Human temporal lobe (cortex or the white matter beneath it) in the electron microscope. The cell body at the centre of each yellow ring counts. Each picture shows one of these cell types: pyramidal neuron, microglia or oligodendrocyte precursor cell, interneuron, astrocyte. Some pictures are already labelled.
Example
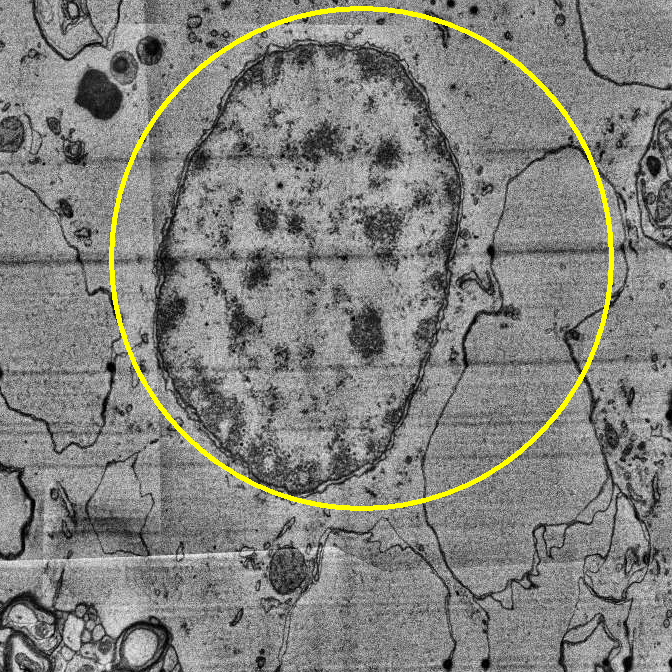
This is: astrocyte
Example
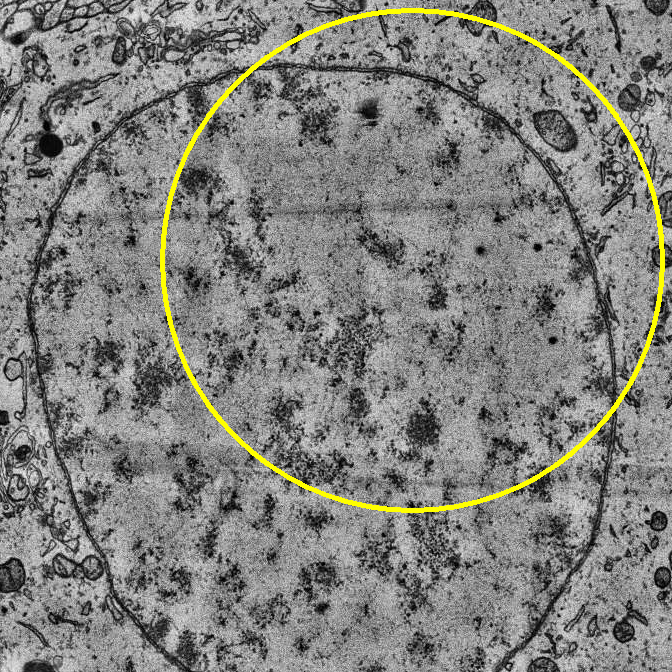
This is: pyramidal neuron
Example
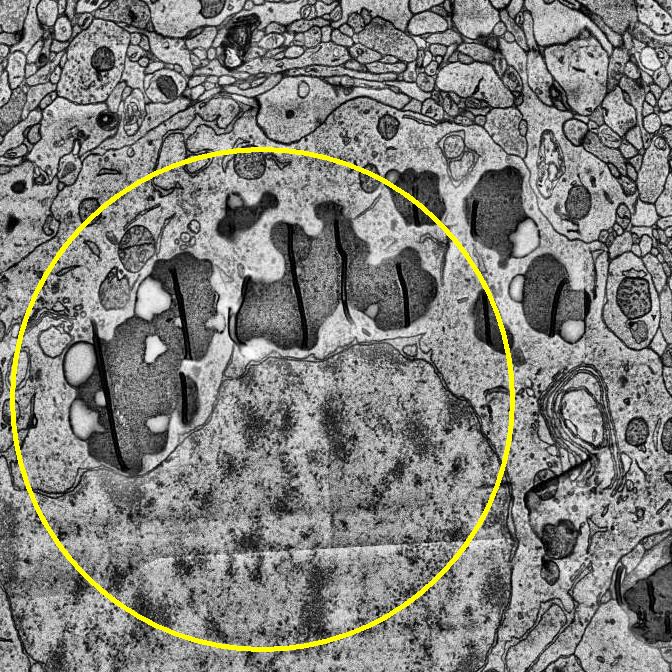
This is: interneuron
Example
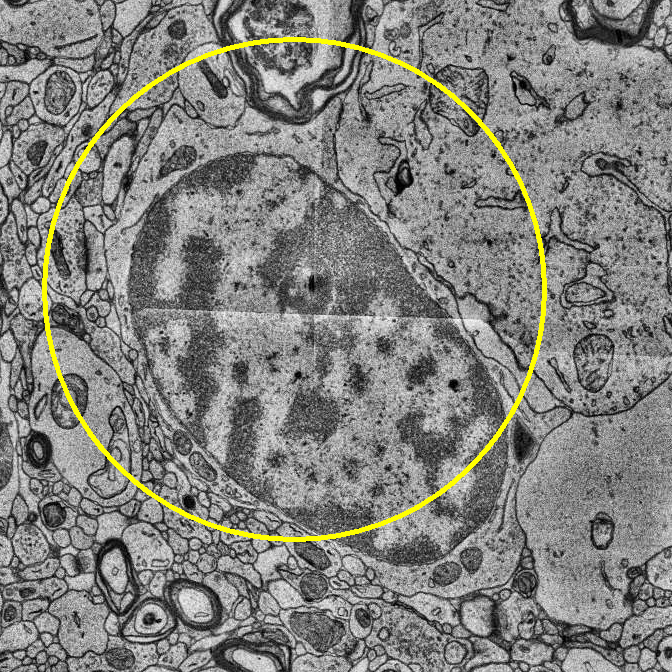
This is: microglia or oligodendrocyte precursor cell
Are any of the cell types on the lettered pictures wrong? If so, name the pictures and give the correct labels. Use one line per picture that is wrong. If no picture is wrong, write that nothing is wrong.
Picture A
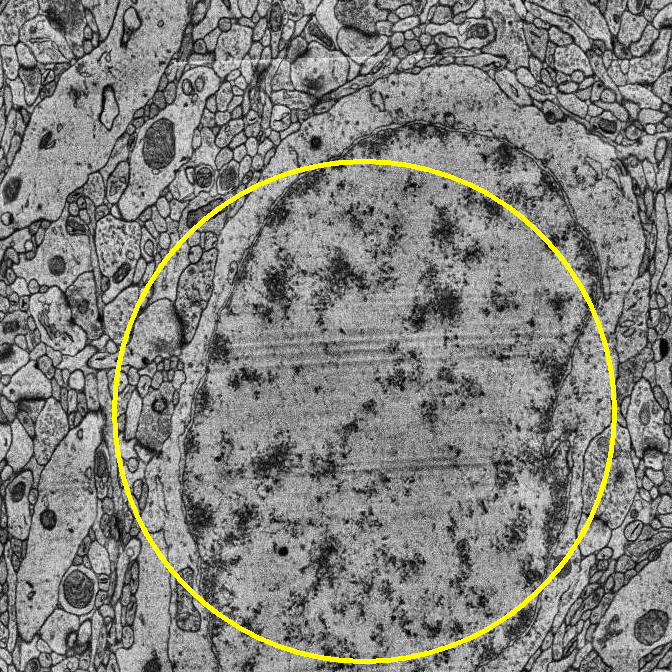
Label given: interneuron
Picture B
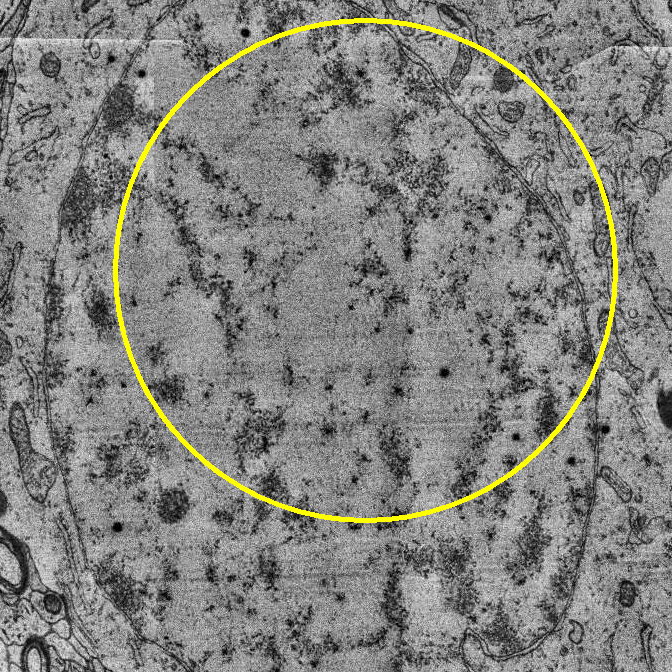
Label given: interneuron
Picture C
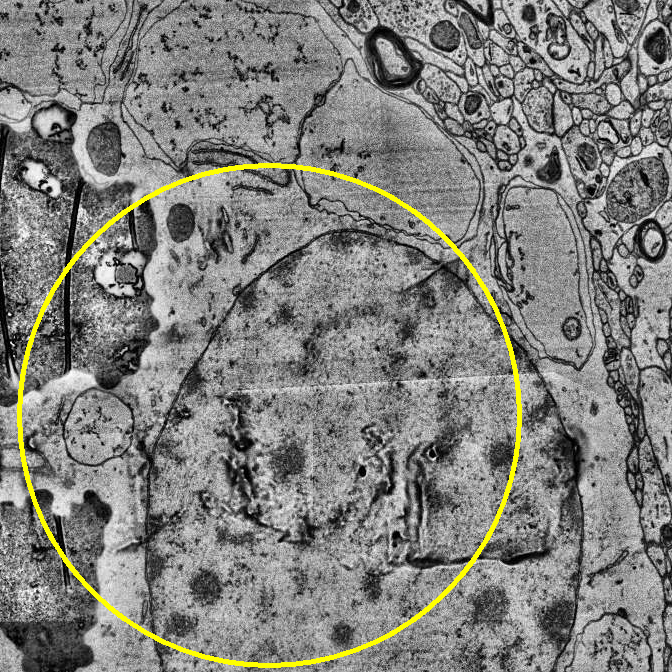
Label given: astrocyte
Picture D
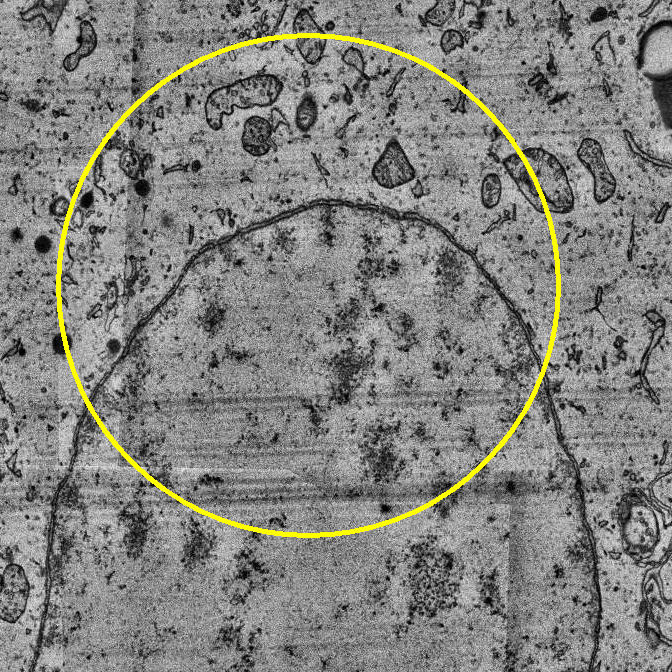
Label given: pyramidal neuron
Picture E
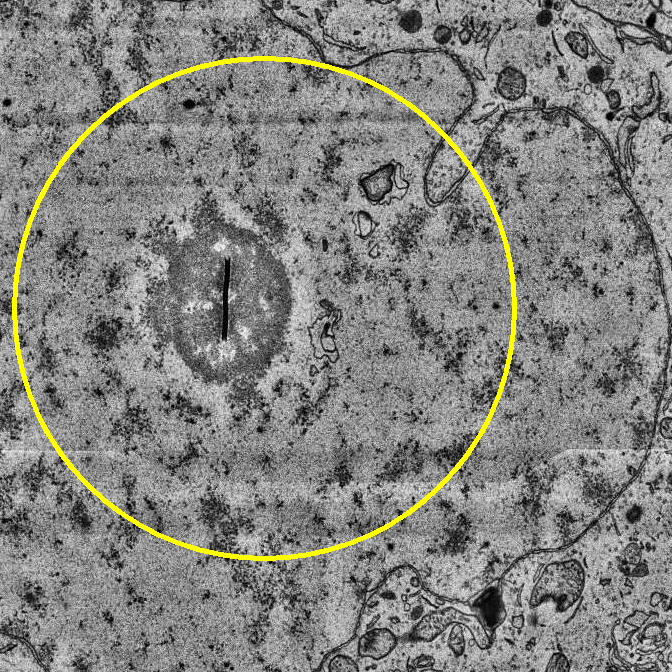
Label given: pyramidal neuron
Nothing to fix; every label fits.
